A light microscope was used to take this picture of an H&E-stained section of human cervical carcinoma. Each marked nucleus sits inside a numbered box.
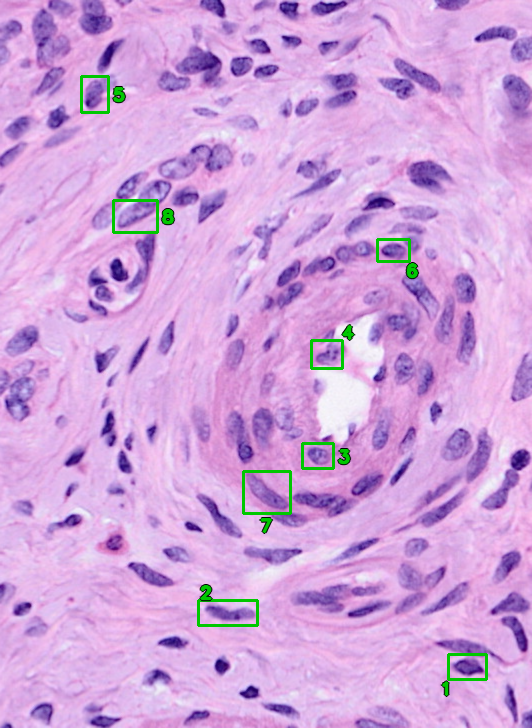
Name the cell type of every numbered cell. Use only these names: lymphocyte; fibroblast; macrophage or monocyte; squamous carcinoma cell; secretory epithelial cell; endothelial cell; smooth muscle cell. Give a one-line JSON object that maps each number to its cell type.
{"1": "fibroblast", "2": "fibroblast", "3": "smooth muscle cell", "4": "endothelial cell", "5": "fibroblast", "6": "smooth muscle cell", "7": "smooth muscle cell", "8": "endothelial cell"}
